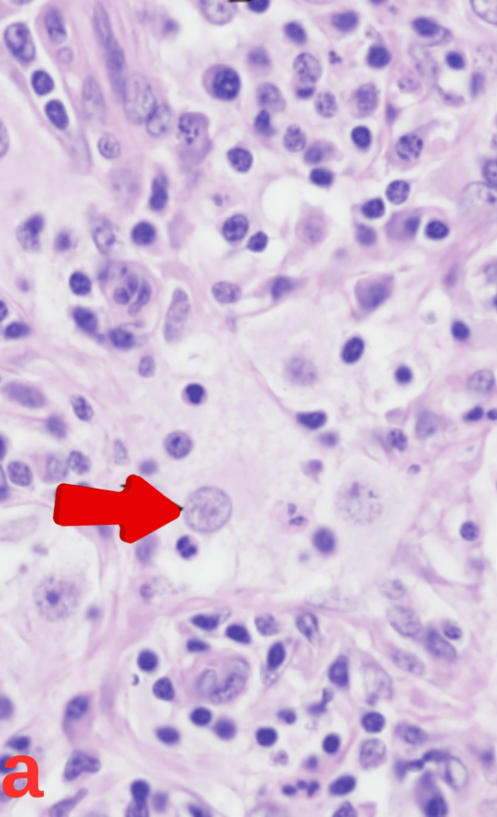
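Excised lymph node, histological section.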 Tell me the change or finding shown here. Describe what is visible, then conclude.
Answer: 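Small round cells with dark compact nuclei lie within the pale cytoplasm of large cells. Several small cells sit in clear haloes inside the large cells. On this evidence: emperipolesis.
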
